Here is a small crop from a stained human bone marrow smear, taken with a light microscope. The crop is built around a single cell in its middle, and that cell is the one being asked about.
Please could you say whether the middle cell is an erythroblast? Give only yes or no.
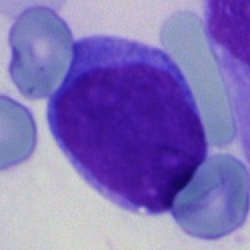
no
